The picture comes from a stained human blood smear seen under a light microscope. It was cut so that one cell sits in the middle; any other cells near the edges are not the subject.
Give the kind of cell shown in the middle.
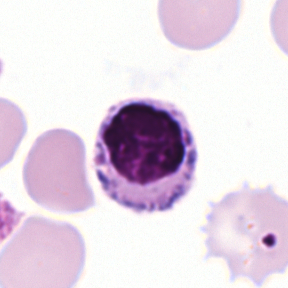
normoblast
